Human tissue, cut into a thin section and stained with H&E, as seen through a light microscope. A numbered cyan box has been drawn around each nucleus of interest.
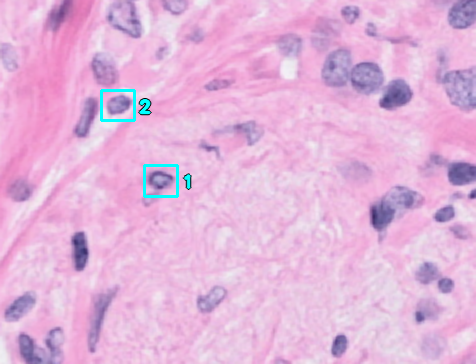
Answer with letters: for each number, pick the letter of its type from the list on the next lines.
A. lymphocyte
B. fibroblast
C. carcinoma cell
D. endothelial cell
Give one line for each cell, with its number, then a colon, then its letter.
1: D
2: A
